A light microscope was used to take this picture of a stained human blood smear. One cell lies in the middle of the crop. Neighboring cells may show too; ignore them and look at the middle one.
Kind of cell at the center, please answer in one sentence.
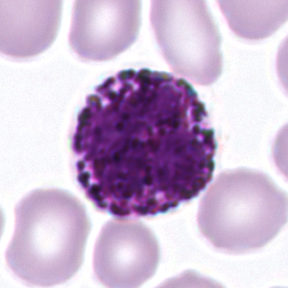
The cell around which this crop is centred is a basophil.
